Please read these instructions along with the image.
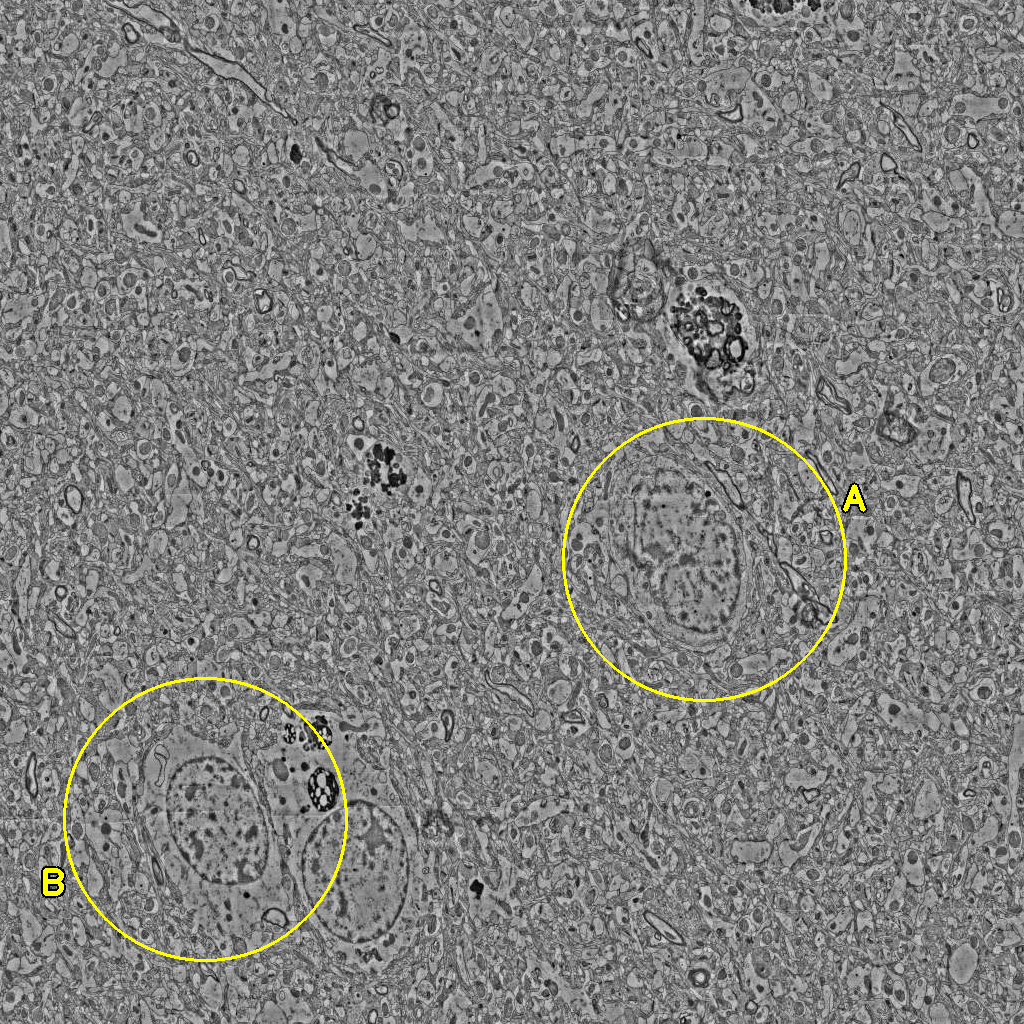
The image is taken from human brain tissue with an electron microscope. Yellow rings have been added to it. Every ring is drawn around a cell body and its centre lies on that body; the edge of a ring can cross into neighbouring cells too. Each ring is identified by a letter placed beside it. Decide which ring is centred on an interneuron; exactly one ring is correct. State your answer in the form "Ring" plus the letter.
Ring A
